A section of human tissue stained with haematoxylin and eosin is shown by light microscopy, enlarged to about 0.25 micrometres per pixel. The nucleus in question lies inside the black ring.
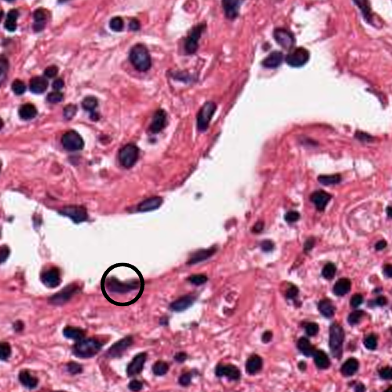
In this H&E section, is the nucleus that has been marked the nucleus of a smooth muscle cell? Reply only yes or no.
no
